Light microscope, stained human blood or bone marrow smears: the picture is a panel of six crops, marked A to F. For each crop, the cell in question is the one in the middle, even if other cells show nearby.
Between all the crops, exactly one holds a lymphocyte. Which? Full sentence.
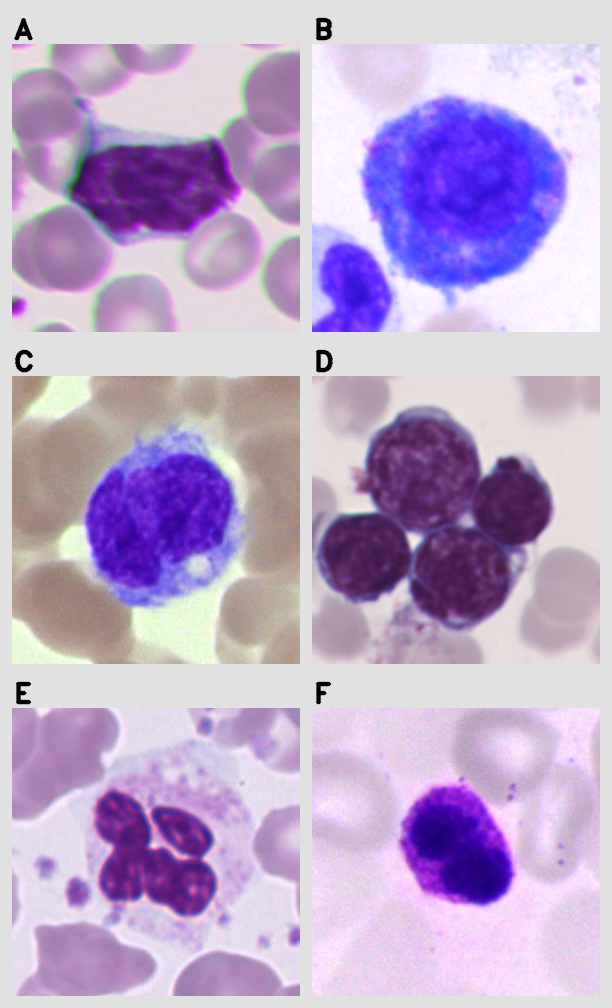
The requested cell, a lymphocyte, is the one in crop A.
